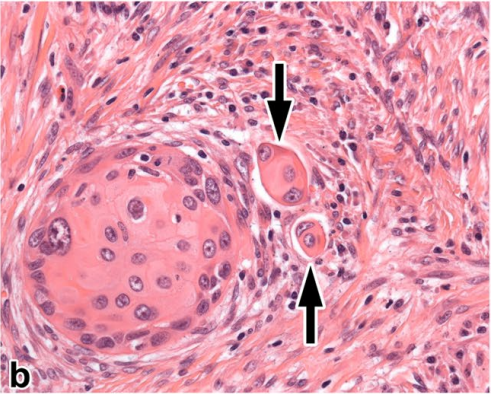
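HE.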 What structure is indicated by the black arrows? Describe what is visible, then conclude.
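The arrows point to tiny groups of one or a few tumour cells lying apart in the stroma. These small groups have pink cytoplasm and lie beside a larger tumour nest. The answer: buds.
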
